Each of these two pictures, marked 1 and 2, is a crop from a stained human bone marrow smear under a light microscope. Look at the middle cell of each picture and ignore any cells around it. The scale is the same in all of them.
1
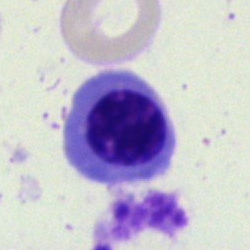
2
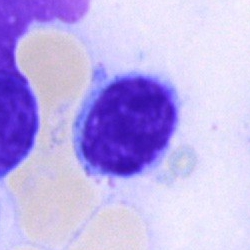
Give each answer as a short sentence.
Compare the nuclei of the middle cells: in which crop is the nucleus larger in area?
Crop 2 shows the larger nucleus; it covers about 1.5 times the area of the nucleus in crop 1.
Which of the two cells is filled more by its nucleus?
In crop 2 the nucleus takes up the larger part of its cell.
